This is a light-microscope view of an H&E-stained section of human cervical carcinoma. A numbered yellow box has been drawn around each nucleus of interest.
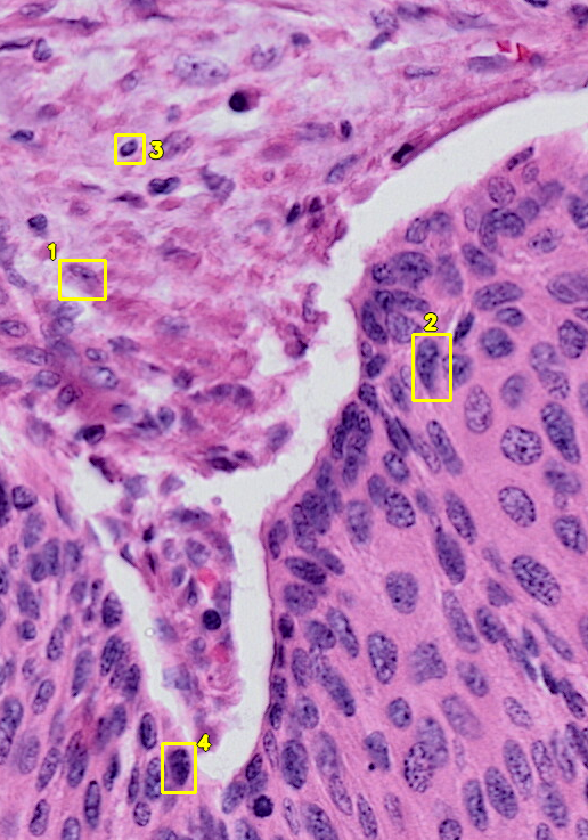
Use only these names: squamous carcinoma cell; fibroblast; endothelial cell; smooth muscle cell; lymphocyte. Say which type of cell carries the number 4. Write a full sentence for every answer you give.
Identified as a squamous carcinoma cell is the cell bearing the number 4.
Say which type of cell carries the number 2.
The correct answer for cell 2 is a squamous carcinoma cell.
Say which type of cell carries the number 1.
Regarding cell 1, this one is a fibroblast.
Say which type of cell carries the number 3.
Number 3 is placed on a lymphocyte here.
